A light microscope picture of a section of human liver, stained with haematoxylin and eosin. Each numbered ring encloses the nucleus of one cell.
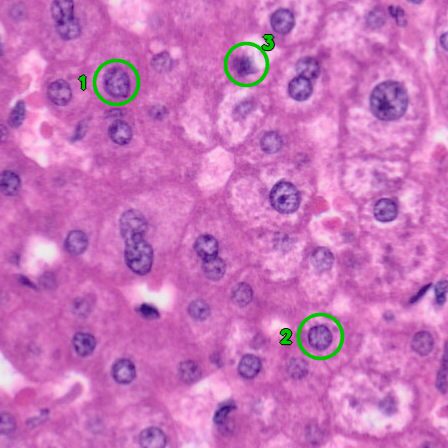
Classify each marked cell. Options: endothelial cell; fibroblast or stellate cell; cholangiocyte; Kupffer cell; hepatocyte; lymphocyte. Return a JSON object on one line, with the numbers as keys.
{"1": "hepatocyte", "2": "hepatocyte", "3": "endothelial cell"}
